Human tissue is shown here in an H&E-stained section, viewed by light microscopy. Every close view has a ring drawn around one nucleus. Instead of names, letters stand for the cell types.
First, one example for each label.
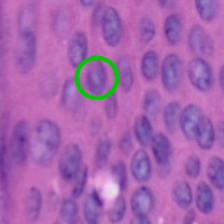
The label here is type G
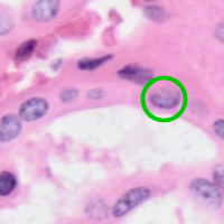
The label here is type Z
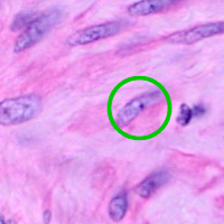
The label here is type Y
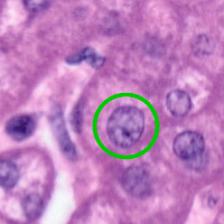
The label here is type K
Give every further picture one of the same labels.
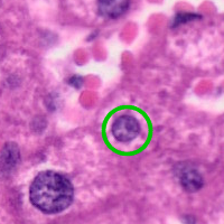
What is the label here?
type K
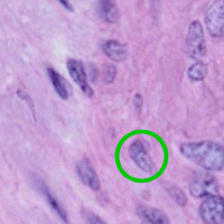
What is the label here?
type Y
